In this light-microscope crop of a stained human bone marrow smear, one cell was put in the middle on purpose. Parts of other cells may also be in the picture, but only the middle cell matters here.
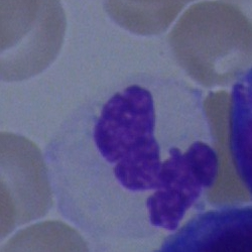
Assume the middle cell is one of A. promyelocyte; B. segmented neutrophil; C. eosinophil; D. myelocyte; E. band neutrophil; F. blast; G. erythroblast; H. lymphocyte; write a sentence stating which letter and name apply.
Option B is right in identifying the central cell as a segmented neutrophil.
